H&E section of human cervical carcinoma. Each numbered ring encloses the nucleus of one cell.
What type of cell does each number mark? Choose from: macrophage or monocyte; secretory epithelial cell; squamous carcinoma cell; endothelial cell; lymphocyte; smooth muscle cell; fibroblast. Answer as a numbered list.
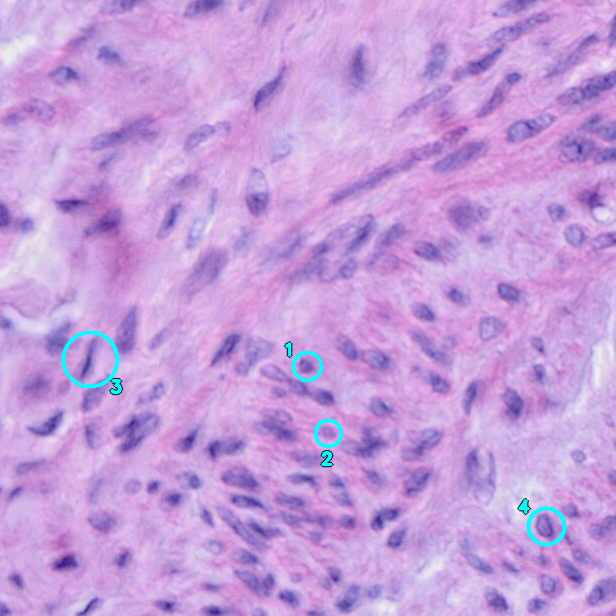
1. smooth muscle cell
2. smooth muscle cell
3. fibroblast
4. smooth muscle cell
